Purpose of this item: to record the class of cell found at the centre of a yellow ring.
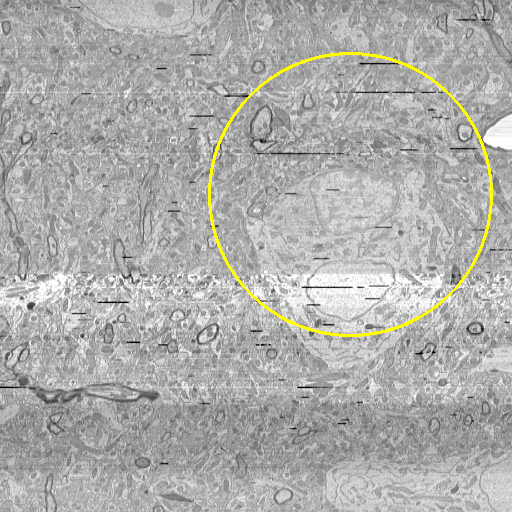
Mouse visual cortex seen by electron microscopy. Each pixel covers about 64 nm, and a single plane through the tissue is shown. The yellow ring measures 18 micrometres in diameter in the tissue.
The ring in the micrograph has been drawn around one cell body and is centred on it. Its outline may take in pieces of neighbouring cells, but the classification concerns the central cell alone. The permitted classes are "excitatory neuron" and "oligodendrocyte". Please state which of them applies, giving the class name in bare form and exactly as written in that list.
oligodendrocyte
